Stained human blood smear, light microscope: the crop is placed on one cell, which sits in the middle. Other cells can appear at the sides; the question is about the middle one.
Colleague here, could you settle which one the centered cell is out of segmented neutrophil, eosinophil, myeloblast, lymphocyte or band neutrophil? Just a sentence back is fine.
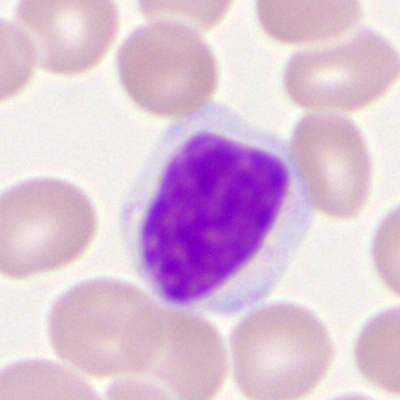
The cell of interest, located centrally, is a lymphocyte.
